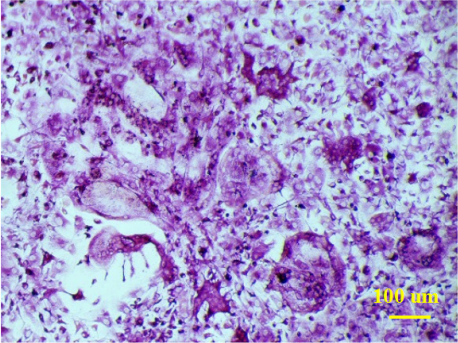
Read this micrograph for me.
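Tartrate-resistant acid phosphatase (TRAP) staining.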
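The osteoclasts are very large, flat, spread cells whose cytoplasm stains purple to magenta; several contain many nuclei gathered in clusters, and some have rounded outlines with a paler centre and a darker purple rim. Between them lies a dense background of small, round to spindle-shaped cells with dark nuclei and faintly stained cytoplasm.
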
